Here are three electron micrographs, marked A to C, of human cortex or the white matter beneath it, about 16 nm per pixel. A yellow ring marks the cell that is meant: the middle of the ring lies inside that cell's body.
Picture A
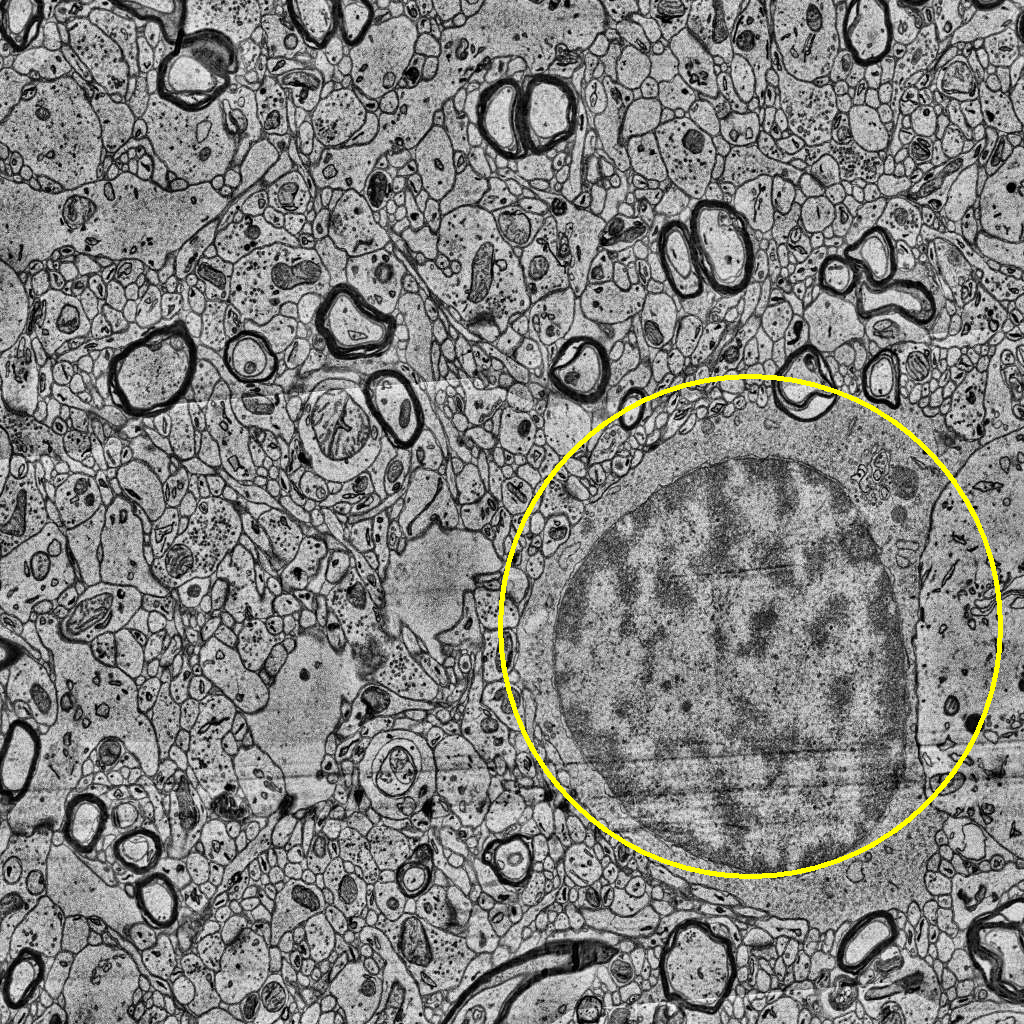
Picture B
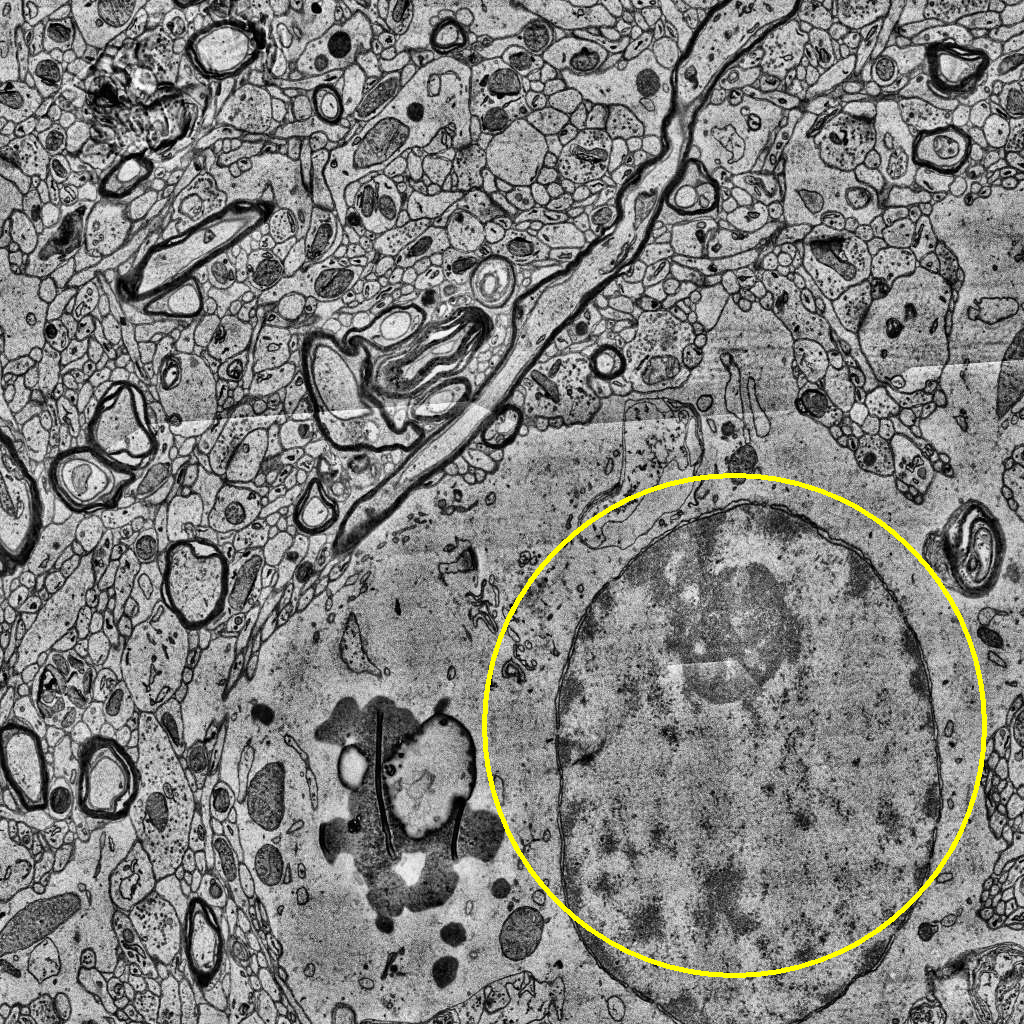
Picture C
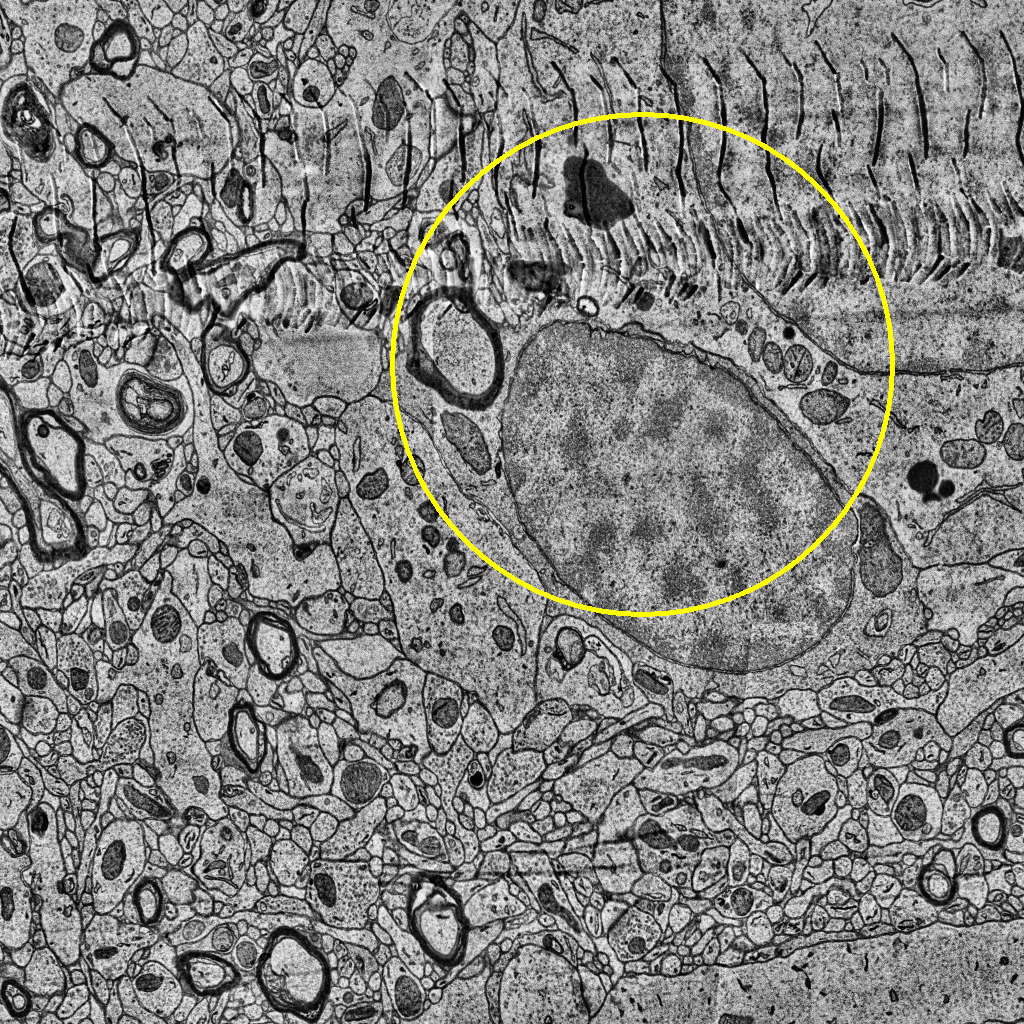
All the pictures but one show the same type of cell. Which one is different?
All pictures except B show oligodendrocytes; picture B shows an astrocyte.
